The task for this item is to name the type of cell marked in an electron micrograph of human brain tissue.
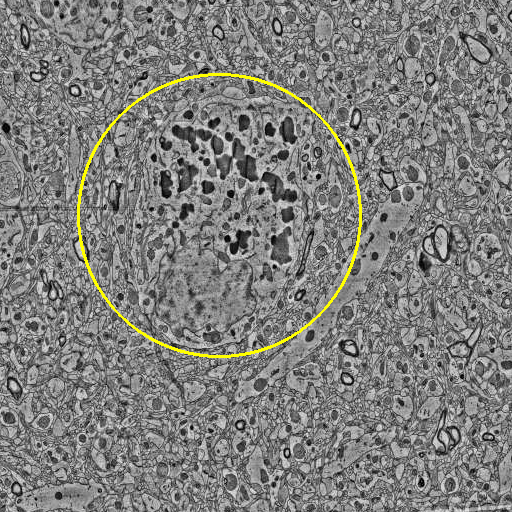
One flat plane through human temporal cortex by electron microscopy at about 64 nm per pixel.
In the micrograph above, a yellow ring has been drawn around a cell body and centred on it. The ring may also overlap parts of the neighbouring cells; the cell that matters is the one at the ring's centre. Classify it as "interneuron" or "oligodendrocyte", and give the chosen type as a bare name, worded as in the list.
interneuron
